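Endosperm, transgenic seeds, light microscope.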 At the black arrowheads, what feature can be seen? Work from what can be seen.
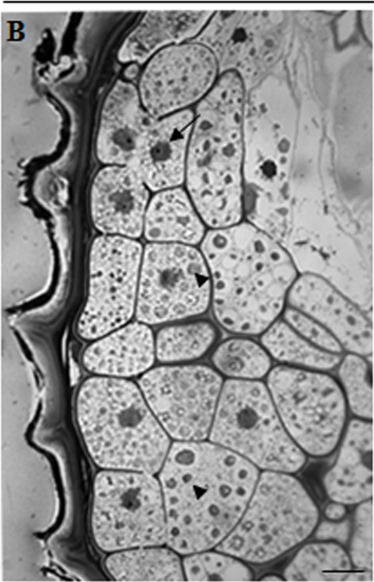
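The arrowheads point to small round droplets and granules. Such droplets fill the cytoplasm of the cells densely.
Conclusion: storage material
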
